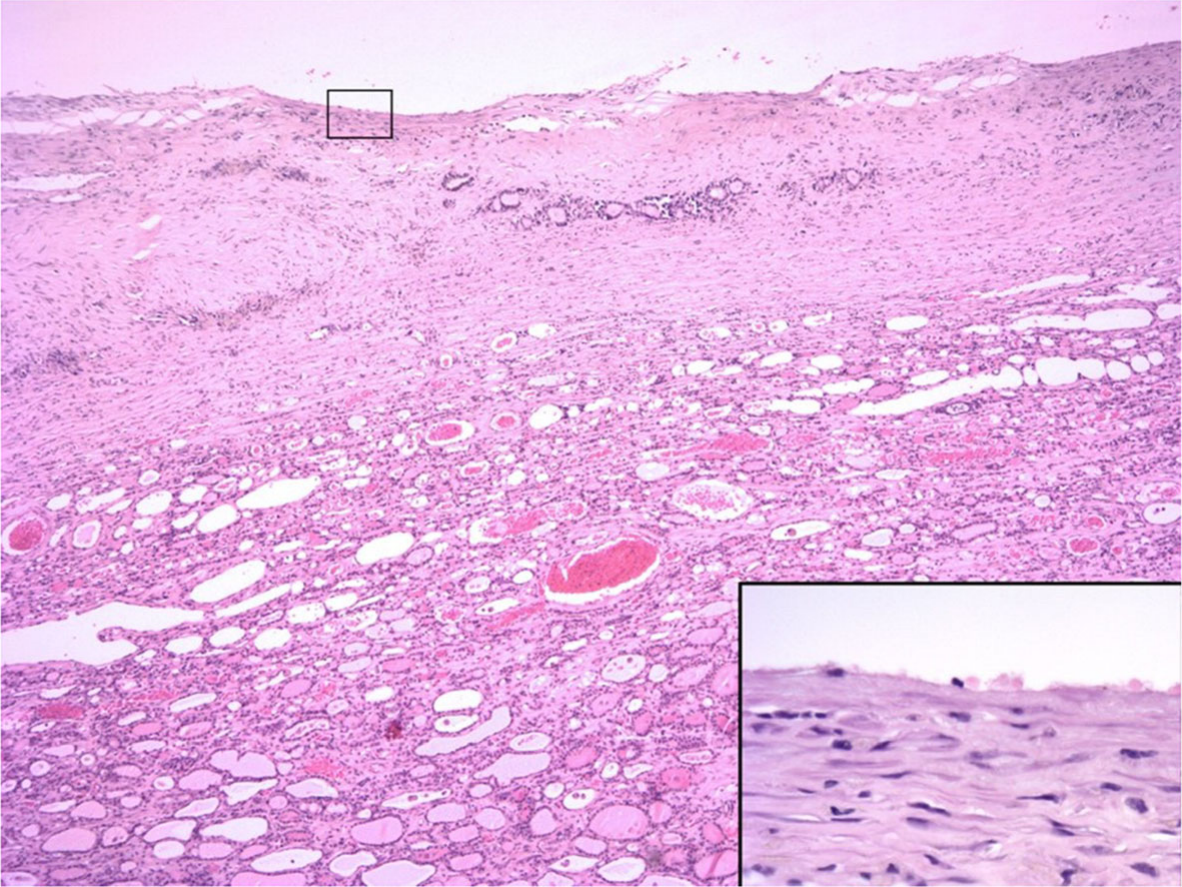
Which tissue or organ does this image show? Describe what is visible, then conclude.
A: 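A broad pale pink band of wavy fibres runs along the upper part of the section. Elongated spindle-shaped nuclei lie scattered between pink fibres, clearest in the inset. The band contains no follicles over most of its width. That points to this answer: collagen rich fibrous tissue.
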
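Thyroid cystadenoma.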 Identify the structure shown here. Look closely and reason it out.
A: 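A few trapped follicles. A small cluster of little round follicles with dark nuclei lies isolated within the pink fibrous band near the top. These follicles are surrounded by fibrous tissue and separate from the main follicle-rich area below.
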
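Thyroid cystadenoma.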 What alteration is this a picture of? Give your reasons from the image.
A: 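Follicles nearest the fibrous band are flattened and stretched parallel to it. Follicles are elongated and slit-like in the upper part of the follicle-rich tissue.
Answer: compressed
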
